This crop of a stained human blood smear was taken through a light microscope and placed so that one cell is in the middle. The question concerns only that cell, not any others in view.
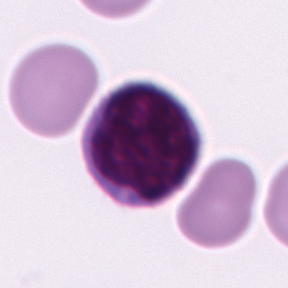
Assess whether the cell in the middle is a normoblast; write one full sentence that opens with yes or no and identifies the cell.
No, what sits in the centre of the crop is a typical lymphocyte rather than a normoblast.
